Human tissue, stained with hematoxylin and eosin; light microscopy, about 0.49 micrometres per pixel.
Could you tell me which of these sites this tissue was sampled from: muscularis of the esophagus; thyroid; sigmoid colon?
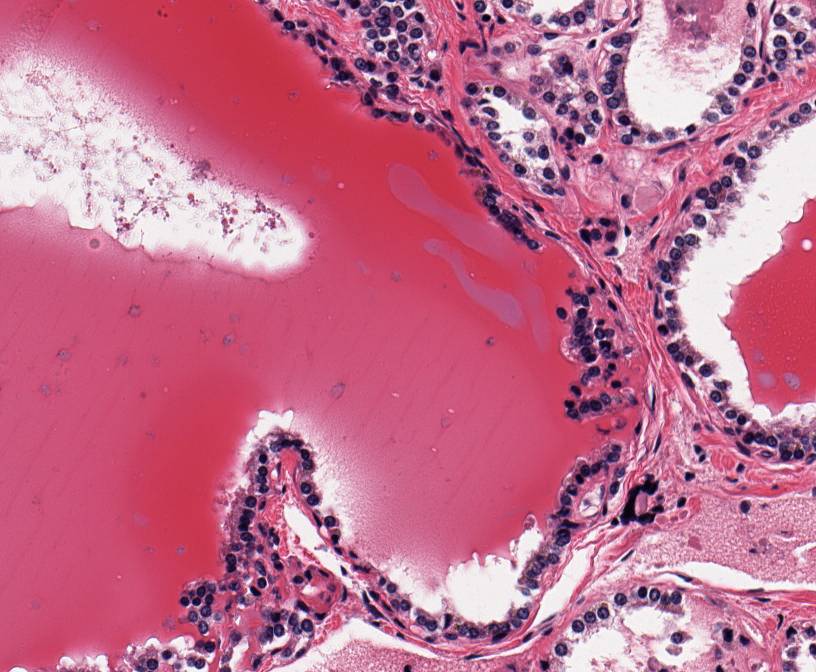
thyroid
